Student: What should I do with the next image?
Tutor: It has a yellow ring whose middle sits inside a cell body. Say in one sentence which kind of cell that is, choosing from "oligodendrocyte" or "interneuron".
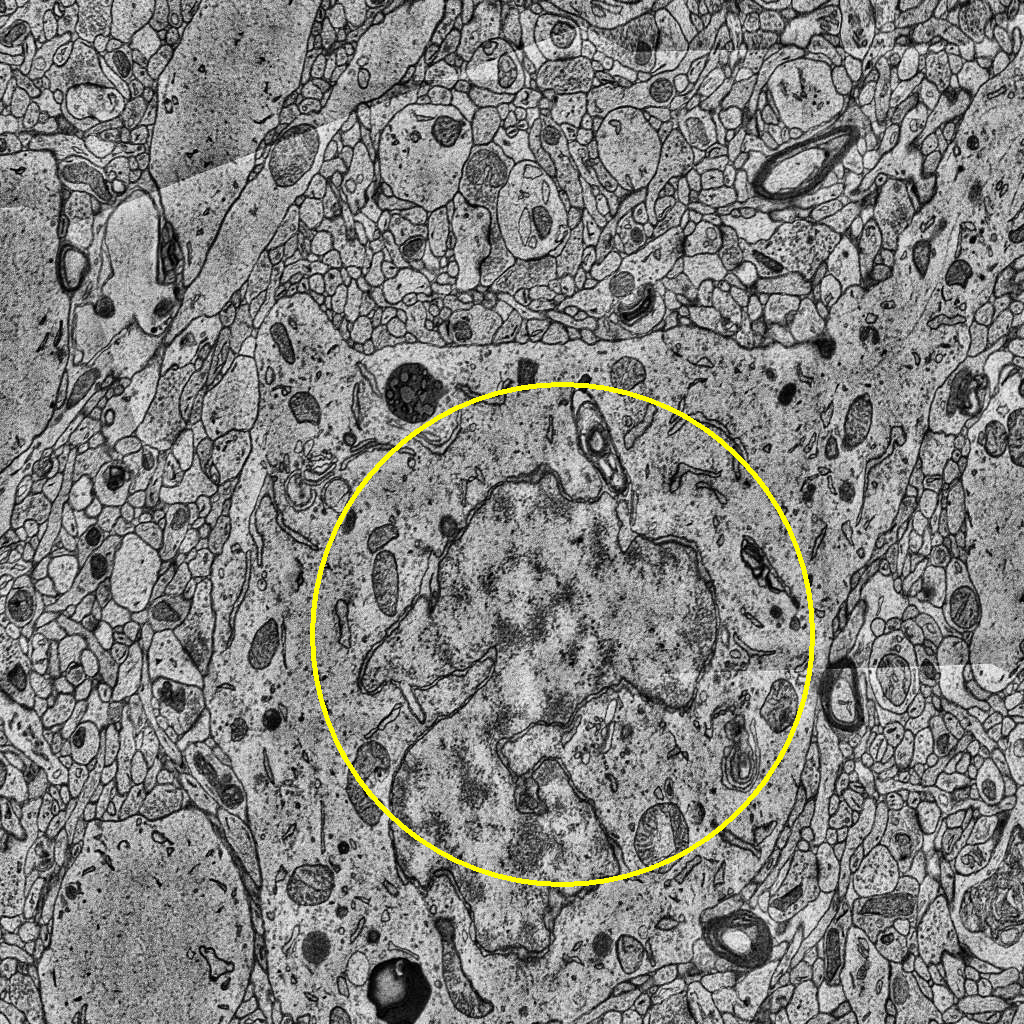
The ring's centre is occupied by an interneuron.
